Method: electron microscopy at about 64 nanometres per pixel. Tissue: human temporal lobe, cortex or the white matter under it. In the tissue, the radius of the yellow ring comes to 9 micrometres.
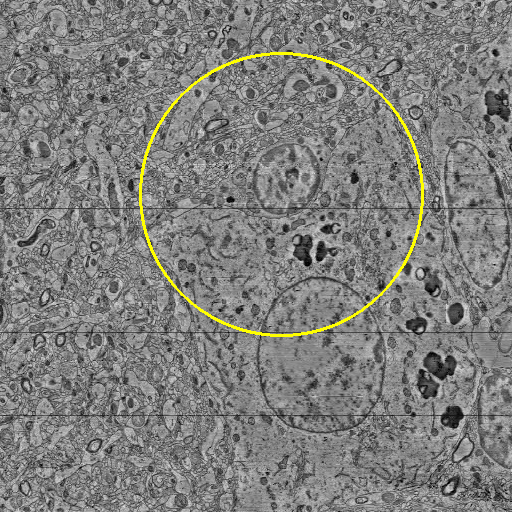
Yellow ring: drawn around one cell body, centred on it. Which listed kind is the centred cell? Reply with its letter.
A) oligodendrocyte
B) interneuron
A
